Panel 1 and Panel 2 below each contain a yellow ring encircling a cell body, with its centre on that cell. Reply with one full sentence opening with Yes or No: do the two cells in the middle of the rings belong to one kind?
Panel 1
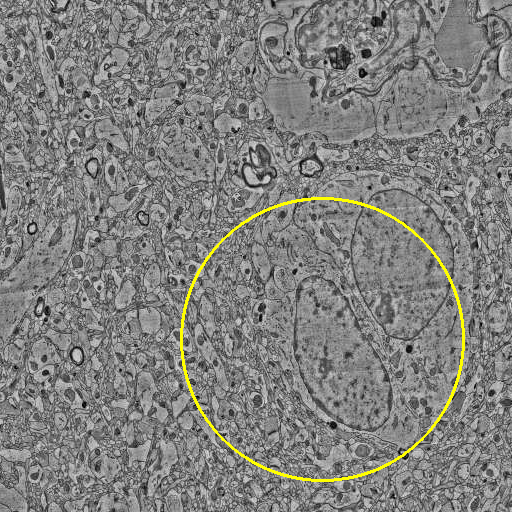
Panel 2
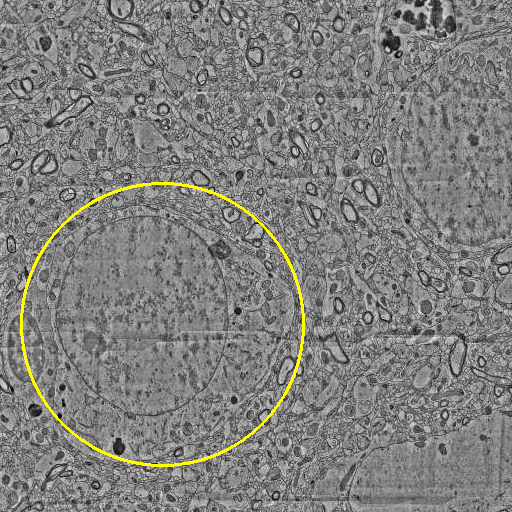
No, the cells at the middle of the Panel 1 ring and the Panel 2 ring are of two kinds.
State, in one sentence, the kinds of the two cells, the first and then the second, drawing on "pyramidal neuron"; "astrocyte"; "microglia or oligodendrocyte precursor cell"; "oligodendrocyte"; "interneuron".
The ring in the second picture is centred on a pyramidal neuron, the ring in the first on a microglial cell or oligodendrocyte precursor cell.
